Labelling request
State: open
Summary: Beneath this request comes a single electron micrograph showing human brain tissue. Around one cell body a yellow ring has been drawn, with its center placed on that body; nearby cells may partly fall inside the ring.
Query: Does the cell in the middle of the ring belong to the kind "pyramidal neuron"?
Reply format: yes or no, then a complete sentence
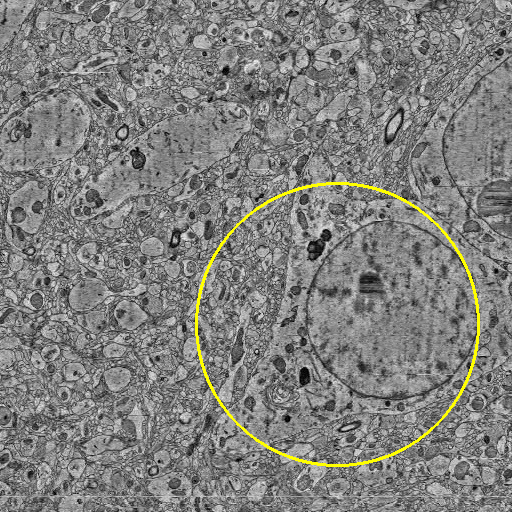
Yes, the cell sitting at the center of the ring in this picture is of that kind.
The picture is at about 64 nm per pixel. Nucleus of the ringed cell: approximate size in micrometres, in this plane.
The nucleus appears about 12 micrometres across in this plane.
